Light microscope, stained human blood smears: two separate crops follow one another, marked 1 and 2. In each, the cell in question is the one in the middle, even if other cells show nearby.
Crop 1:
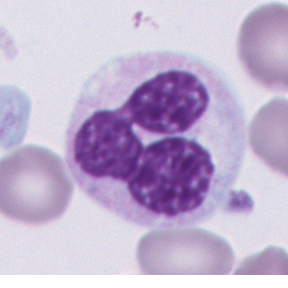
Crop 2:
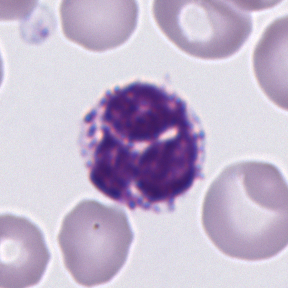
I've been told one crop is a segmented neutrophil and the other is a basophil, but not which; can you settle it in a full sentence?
Crop 1 is a segmented neutrophil, whilst crop 2 is a basophil.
